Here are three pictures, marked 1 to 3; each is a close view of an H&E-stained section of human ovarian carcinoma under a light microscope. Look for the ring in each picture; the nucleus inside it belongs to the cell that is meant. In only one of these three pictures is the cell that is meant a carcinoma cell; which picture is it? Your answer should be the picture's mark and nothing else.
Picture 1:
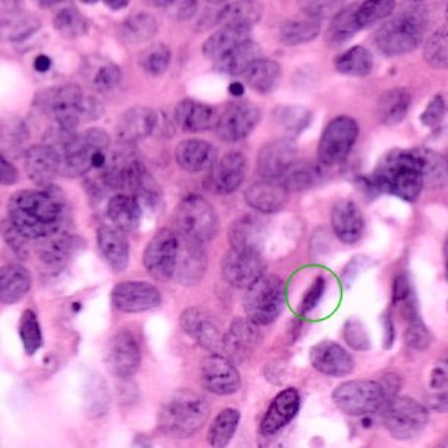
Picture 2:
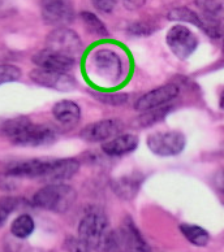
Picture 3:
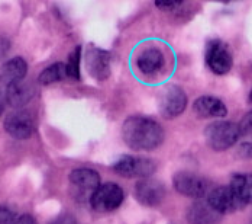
1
